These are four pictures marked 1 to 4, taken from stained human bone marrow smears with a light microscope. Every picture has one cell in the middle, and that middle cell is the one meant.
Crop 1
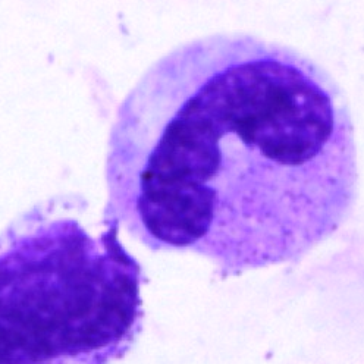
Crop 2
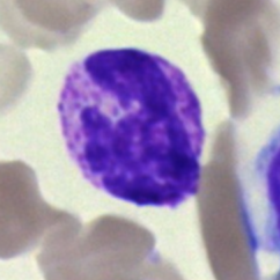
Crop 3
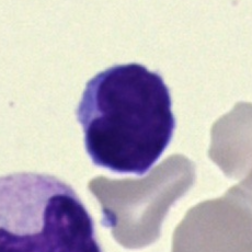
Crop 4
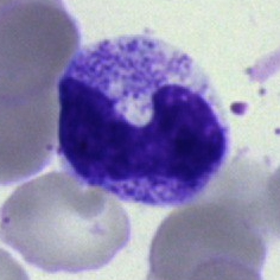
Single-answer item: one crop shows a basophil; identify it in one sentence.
Identified crop: 2, the one that shows a basophil.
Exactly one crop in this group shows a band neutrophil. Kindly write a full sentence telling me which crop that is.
Among the crops, only crop 4 contains a band neutrophil.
